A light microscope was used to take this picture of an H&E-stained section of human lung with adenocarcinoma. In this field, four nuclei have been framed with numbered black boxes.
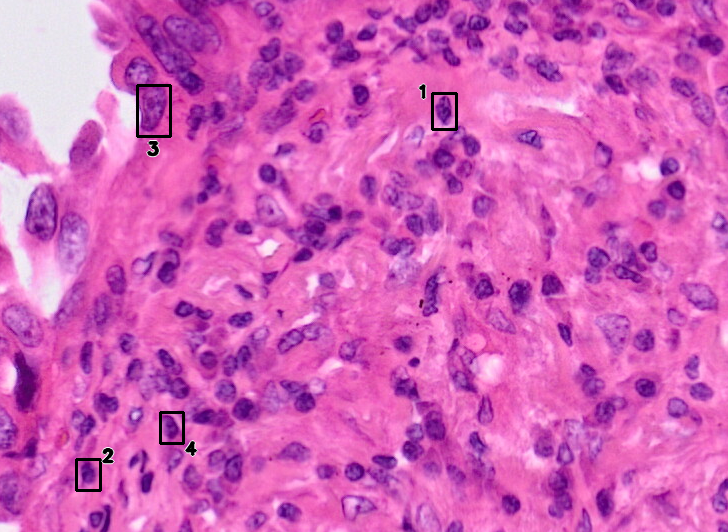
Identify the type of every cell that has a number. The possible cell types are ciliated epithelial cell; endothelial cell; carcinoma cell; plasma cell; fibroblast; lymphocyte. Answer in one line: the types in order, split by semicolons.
lymphocyte; lymphocyte; carcinoma cell; plasma cell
